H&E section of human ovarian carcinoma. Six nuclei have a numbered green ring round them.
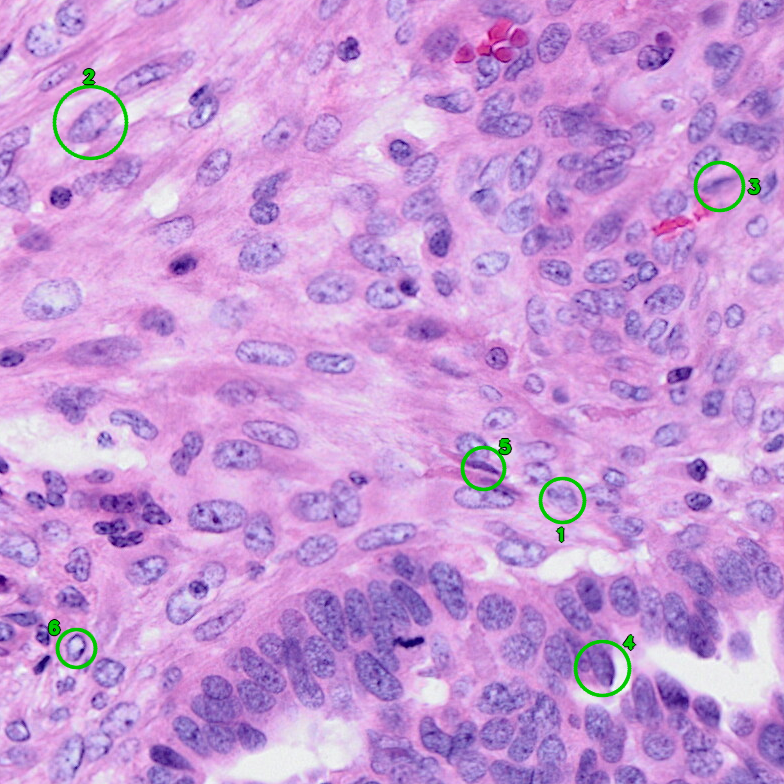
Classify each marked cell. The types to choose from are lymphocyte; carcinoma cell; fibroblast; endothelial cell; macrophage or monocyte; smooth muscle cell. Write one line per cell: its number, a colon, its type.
1: fibroblast
2: fibroblast
3: endothelial cell
4: carcinoma cell
5: fibroblast
6: fibroblast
